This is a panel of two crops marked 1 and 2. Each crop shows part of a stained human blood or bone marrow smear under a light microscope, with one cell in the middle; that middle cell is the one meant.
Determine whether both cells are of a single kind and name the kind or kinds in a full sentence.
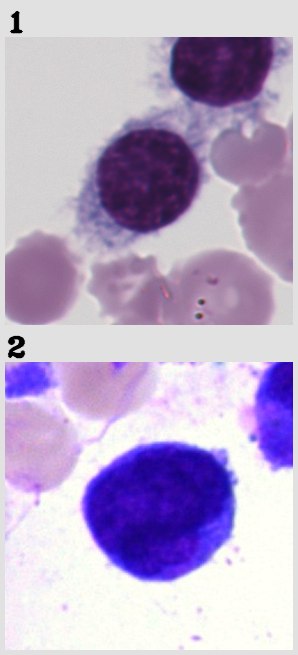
No, crop 1 shows a hairy cell, and the cell in crop 2 is a blast.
